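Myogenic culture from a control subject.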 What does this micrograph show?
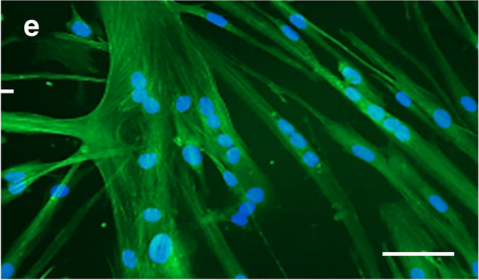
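Elongated myotubes and spread cells stained green fill the field, crossing one another at different angles. Their cytoplasm is packed with long parallel filament bundles, and oval blue nuclei lie singly or in clusters and rows within the cells.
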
